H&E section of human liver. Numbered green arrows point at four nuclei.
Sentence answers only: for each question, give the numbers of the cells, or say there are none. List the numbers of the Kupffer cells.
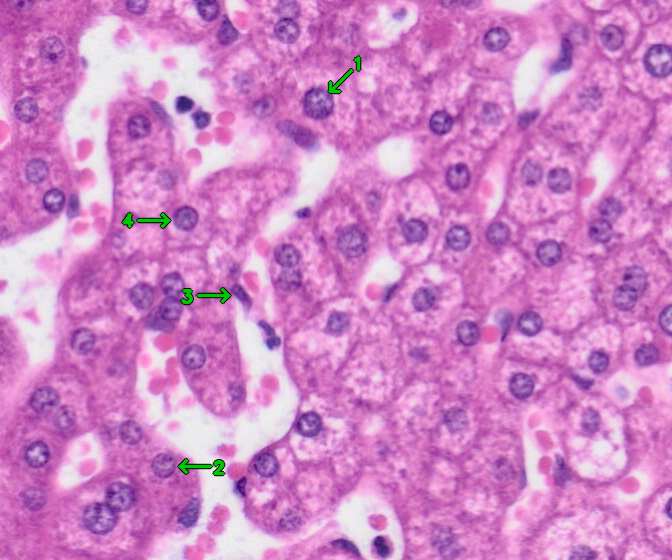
Only one of the numbered nuclei, number 3, belongs to a Kupffer cell.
